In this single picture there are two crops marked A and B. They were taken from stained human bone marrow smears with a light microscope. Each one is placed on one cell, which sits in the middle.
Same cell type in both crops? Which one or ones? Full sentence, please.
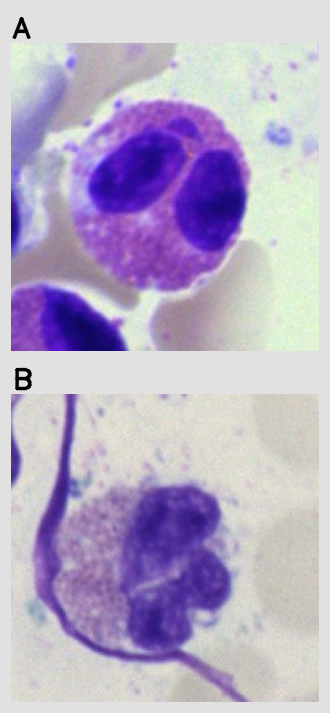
Yes, eosinophils are what the two crops show.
